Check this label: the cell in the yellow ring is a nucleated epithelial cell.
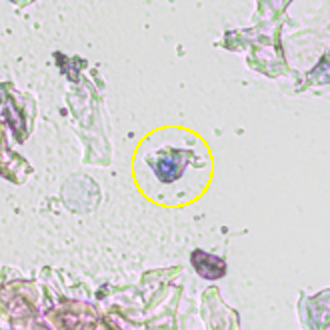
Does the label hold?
The label holds; the cell is a nucleated epithelial cell.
